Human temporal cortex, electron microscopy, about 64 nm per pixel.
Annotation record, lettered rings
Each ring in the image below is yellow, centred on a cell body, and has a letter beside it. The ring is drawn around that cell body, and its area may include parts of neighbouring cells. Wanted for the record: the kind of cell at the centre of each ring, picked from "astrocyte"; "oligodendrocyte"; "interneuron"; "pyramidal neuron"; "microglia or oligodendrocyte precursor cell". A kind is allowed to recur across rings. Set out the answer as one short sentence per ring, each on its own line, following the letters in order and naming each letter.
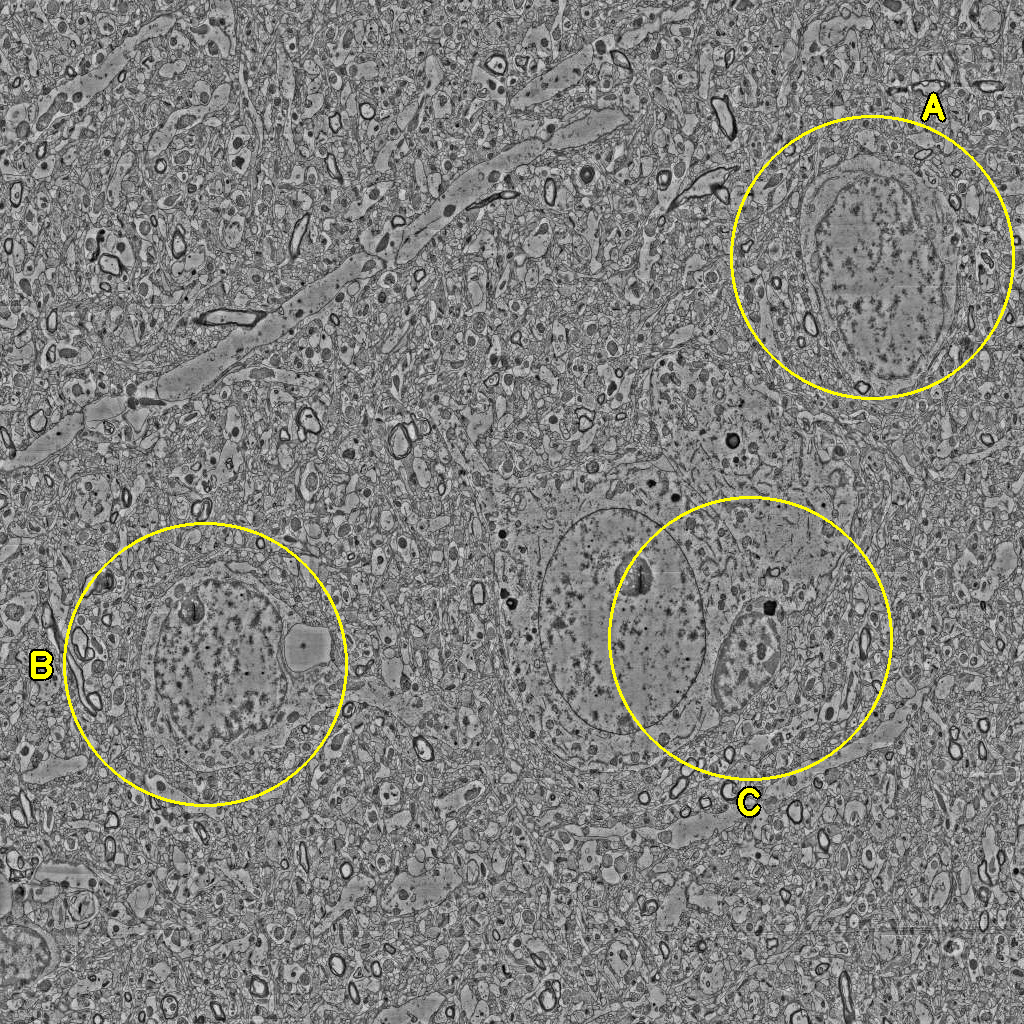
Ring A was drawn on an interneuron.
Ring B was drawn on an interneuron.
Ring C was drawn on an oligodendrocyte.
